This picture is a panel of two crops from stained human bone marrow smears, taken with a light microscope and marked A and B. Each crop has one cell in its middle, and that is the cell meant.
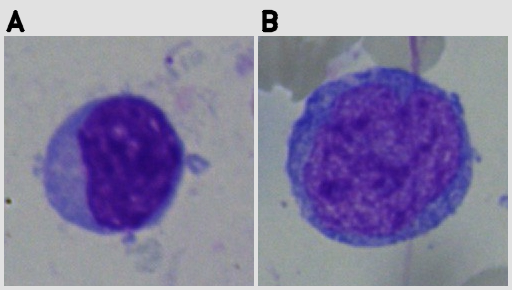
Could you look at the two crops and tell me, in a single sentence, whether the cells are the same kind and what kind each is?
Yes, both crops show blasts, to put it briefly.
